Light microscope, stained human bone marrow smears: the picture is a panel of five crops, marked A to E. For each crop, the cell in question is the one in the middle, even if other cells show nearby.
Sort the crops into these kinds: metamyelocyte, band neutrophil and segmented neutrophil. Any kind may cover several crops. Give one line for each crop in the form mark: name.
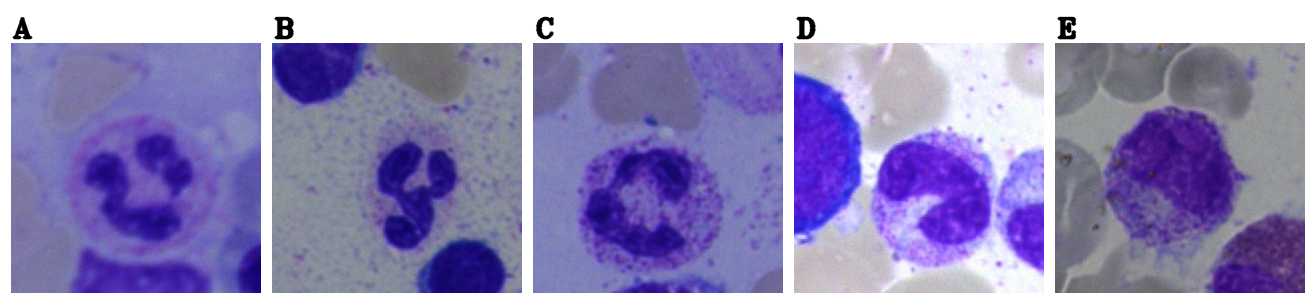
A: segmented neutrophil
B: segmented neutrophil
C: segmented neutrophil
D: band neutrophil
E: metamyelocyte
